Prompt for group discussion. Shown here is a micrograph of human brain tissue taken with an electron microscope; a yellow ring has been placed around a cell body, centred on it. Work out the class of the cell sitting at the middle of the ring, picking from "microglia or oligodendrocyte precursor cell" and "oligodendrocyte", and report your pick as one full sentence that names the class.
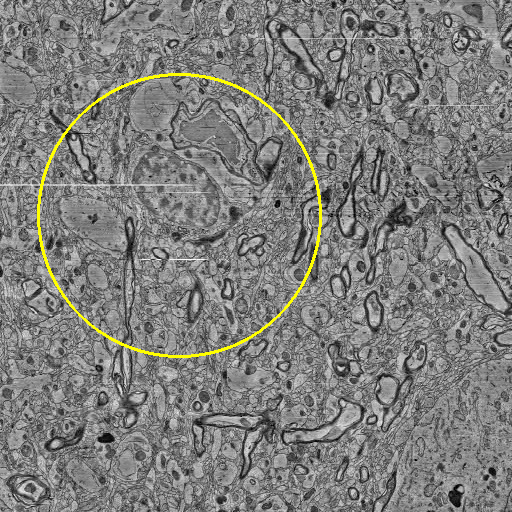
The cell sitting at the middle of the yellow ring is an oligodendrocyte.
